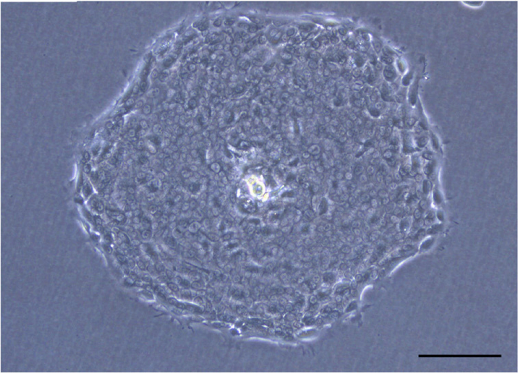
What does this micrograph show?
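A colony of epithelial cells grown on a flat culture surface, seen without staining. The colony is a single, roughly round, flat patch with a well-defined border against the empty surrounding surface. Cells at the rim appear somewhat flatter and more spread than those in the centre. A small bright refractile spot lies near the middle of the colony.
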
